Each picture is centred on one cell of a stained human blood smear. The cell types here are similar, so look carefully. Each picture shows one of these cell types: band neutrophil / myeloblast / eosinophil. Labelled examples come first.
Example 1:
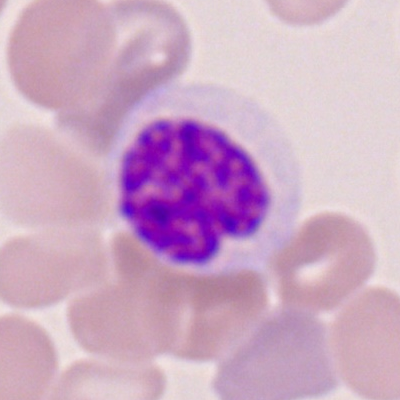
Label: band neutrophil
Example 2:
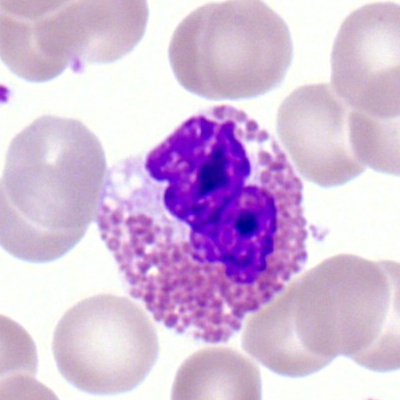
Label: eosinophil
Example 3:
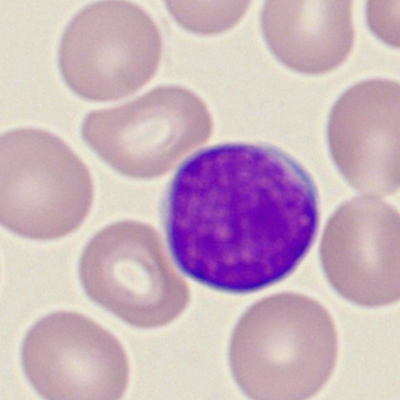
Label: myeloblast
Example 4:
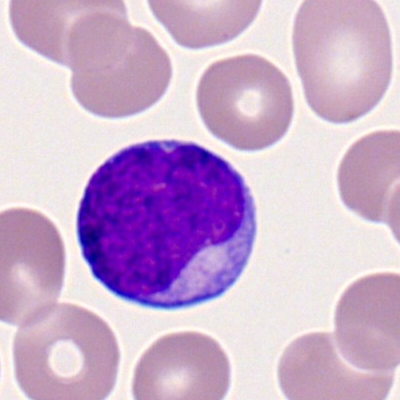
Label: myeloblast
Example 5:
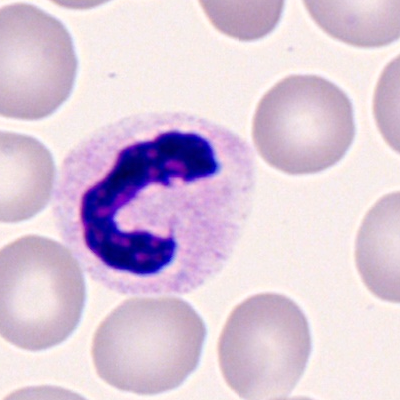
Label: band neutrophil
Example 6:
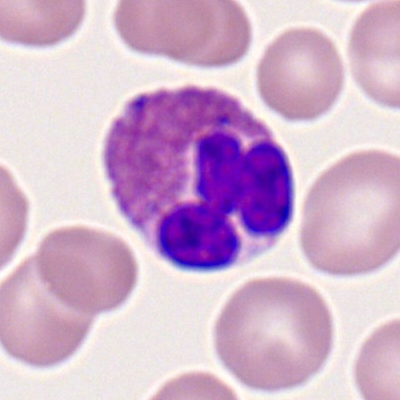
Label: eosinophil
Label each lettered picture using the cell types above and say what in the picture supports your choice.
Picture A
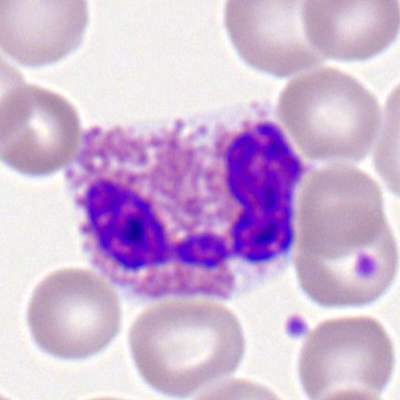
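eosinophil. Evidence: The nucleus is split into three separate lobes.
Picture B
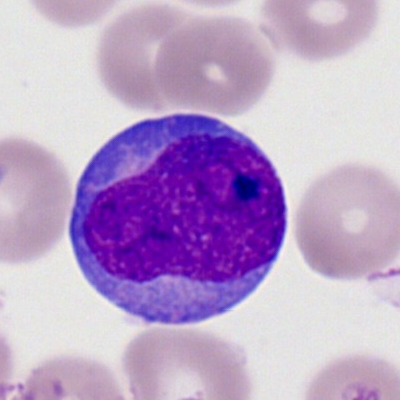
myeloblast. Evidence: The nucleus fills most of the cell.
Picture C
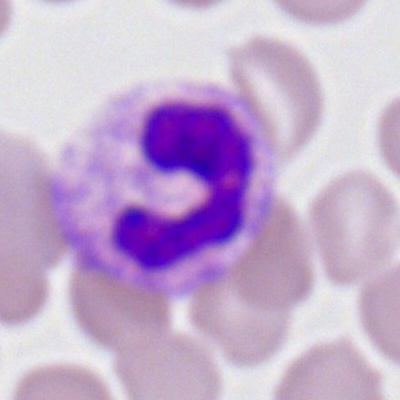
band neutrophil. Evidence: The nucleus is a single curved band shaped like a letter C.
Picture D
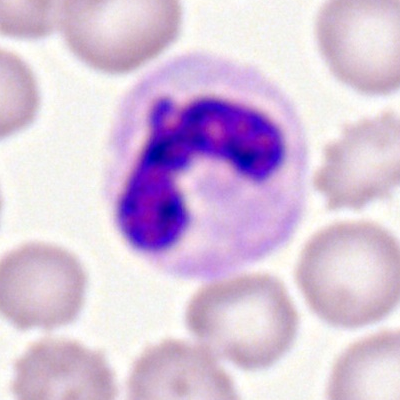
band neutrophil. Evidence: The nucleus is a single thick curved band bent into a hook shape.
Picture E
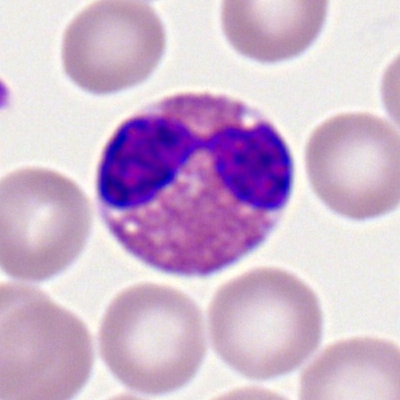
eosinophil. Evidence: The nucleus has two lobes joined by a narrow band.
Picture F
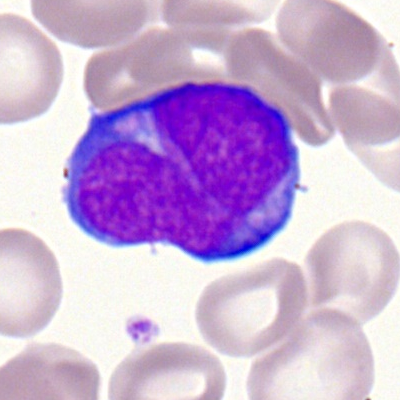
myeloblast. Evidence: The cytoplasm forms only a thin rim around the nucleus.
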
